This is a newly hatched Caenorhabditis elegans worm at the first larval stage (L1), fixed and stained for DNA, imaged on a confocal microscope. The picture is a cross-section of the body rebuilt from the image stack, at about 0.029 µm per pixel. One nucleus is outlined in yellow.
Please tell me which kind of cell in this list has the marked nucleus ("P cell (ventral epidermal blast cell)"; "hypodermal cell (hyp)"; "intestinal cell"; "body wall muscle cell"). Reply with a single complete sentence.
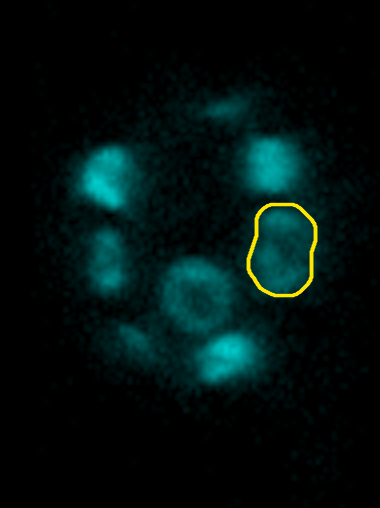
The nucleus comes from a hypodermal cell (hyp).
